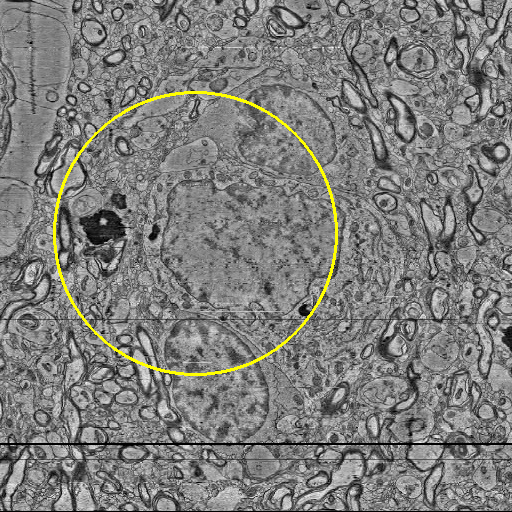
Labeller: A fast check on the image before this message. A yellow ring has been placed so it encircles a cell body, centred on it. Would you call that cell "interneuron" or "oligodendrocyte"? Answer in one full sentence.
In this image, an interneuron is the cell on which the yellow ring is centred.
